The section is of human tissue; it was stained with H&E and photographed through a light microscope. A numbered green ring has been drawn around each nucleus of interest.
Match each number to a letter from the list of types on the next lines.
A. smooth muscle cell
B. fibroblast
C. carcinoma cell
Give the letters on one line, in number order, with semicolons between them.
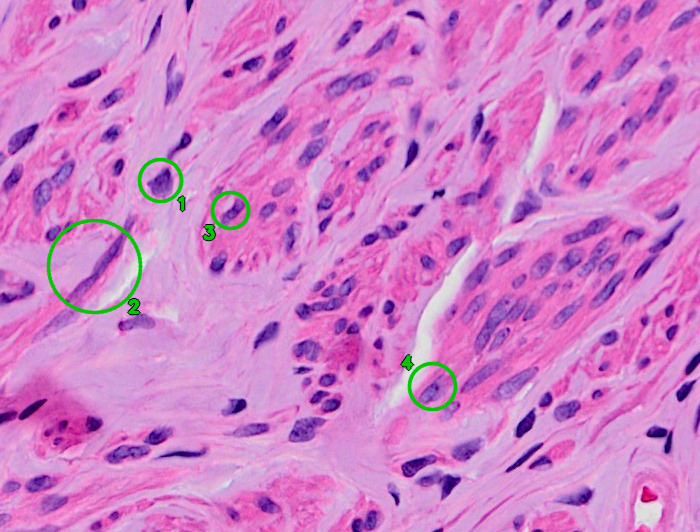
B; A; A; A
